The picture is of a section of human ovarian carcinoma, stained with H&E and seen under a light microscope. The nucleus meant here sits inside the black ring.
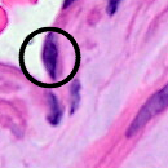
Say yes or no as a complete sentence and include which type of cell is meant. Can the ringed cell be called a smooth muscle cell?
No, it is not as a smooth muscle cell but as an endothelial cell that the ringed cell is classed.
